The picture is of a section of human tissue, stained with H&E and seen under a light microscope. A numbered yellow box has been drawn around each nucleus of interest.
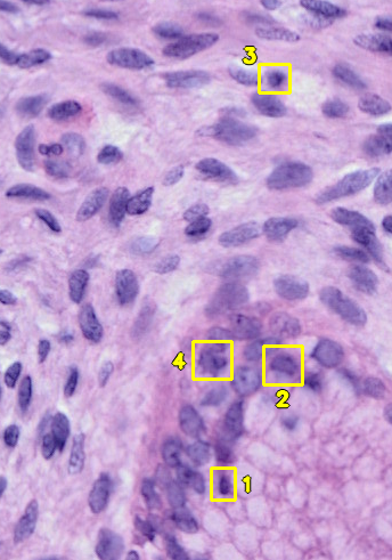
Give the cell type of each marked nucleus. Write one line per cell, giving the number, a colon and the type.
1: secretory epithelial cell
2: secretory epithelial cell
3: lymphocyte
4: secretory epithelial cell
